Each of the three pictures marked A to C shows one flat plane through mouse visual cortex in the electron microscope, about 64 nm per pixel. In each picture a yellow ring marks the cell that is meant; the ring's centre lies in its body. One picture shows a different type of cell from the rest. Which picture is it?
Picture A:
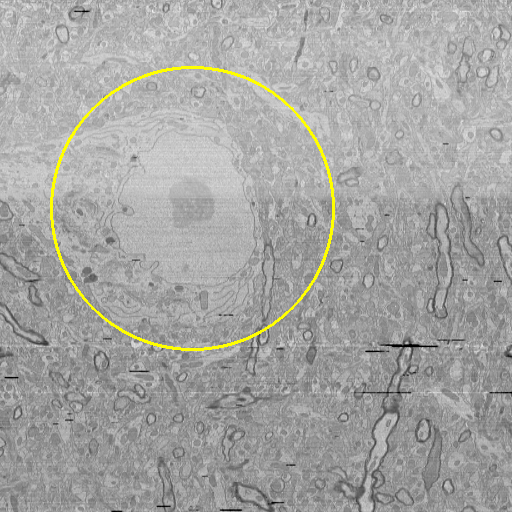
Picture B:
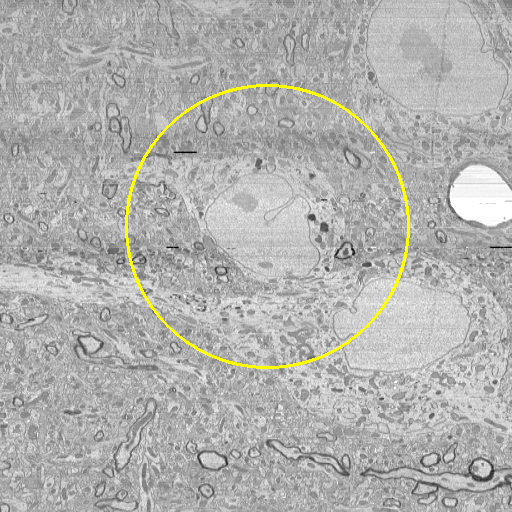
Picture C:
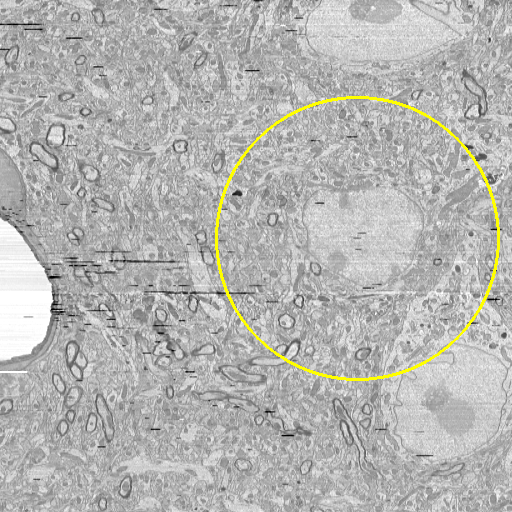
Unlike the rest, which show excitatory neurons, picture C shows an astrocyte.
